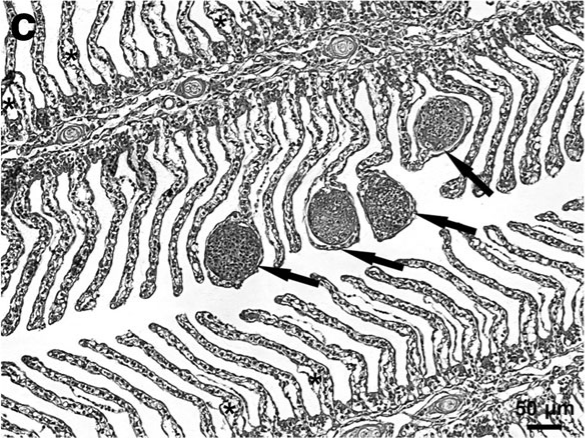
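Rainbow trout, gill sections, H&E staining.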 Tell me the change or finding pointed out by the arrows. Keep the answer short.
Lamellar aneurysms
